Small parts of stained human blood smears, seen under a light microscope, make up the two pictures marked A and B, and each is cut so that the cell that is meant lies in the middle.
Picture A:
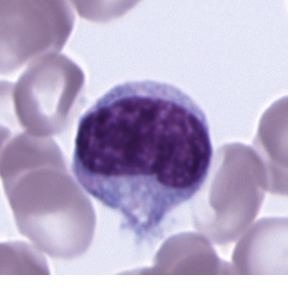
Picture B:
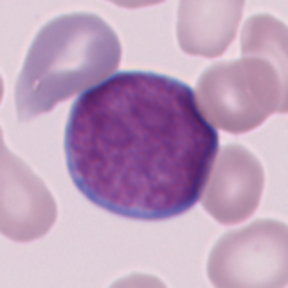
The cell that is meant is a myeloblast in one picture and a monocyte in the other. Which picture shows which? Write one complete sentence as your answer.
It is picture A that shows a monocyte, and picture B that shows a myeloblast.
